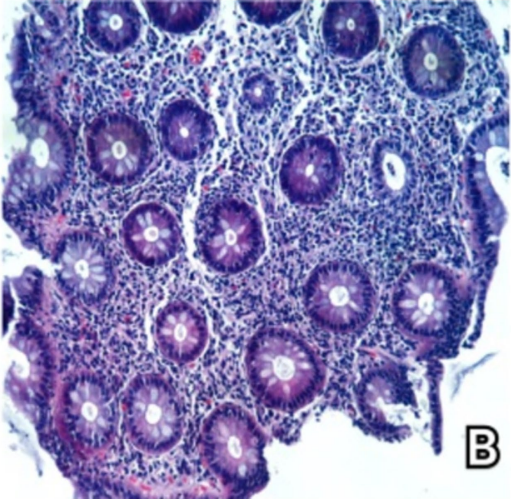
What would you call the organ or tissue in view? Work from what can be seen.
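Colonic mucosa. Many round glands cut in cross-section, each with a small central lumen. The glands are lined by a single layer of columnar cells with pale mucin-filled cytoplasm. The glands sit in a densely cellular stroma between them.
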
